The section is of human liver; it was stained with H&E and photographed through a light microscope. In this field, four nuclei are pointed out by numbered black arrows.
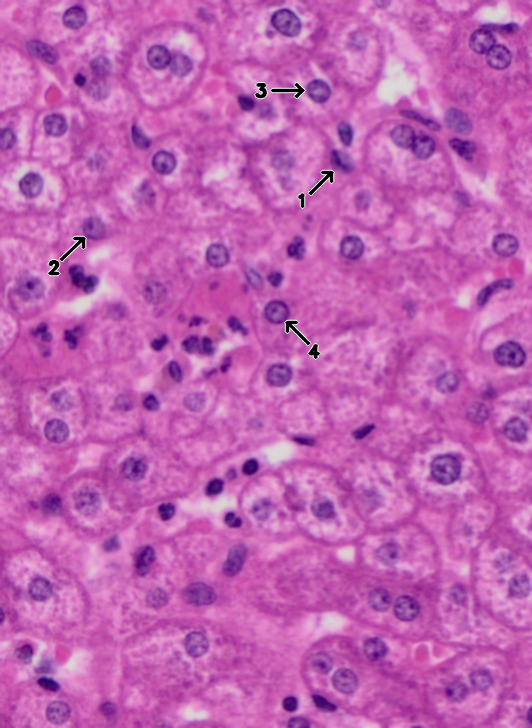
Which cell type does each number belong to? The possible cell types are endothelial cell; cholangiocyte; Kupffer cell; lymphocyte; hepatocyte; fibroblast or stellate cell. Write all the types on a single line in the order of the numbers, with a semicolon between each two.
endothelial cell; hepatocyte; hepatocyte; hepatocyte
